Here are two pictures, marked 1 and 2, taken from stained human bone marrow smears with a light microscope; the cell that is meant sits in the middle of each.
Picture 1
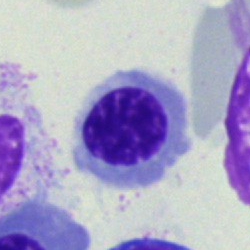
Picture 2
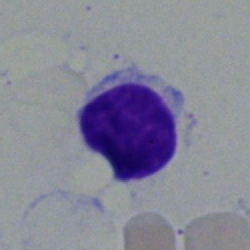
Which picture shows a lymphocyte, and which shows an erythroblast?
1: erythroblast
2: lymphocyte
